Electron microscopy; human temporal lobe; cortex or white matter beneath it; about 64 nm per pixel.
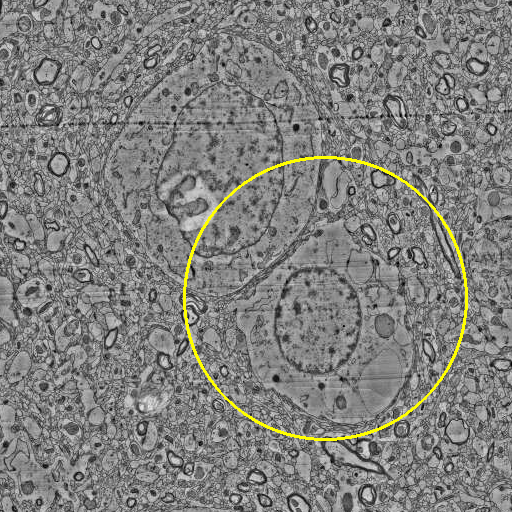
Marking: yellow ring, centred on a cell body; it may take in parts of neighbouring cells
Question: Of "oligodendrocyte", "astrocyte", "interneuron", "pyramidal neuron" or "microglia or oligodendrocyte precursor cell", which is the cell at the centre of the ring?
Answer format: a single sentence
The ring surrounds the body of an astrocyte.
